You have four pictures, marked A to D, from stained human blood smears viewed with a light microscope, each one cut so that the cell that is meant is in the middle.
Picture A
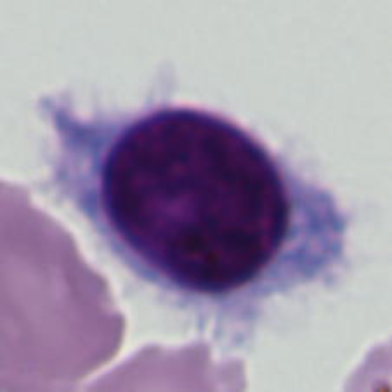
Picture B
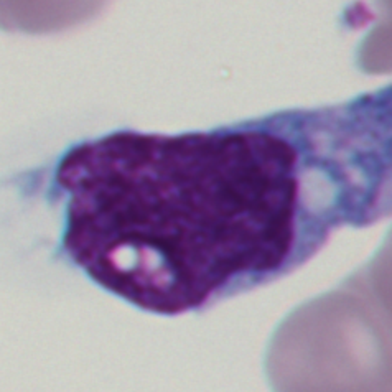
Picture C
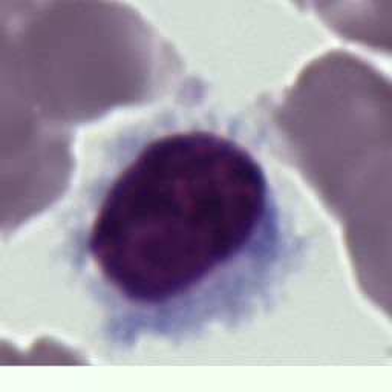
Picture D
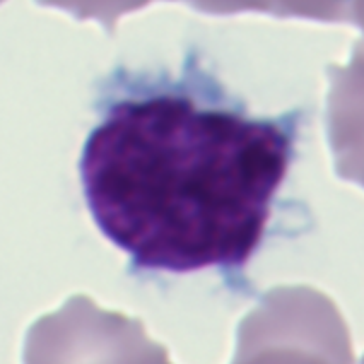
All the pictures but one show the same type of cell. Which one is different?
B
